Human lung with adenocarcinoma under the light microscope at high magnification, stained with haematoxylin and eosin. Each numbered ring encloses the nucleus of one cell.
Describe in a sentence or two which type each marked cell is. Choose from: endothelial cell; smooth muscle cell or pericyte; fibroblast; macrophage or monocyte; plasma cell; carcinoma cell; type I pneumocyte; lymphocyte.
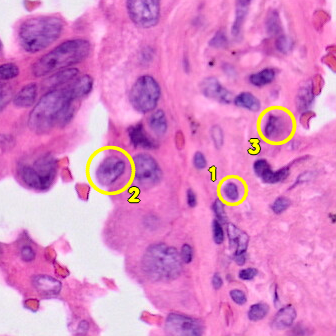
Cell 1 is a lymphocyte. Cell 2 is a carcinoma cell. Cell 3 is a plasma cell.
